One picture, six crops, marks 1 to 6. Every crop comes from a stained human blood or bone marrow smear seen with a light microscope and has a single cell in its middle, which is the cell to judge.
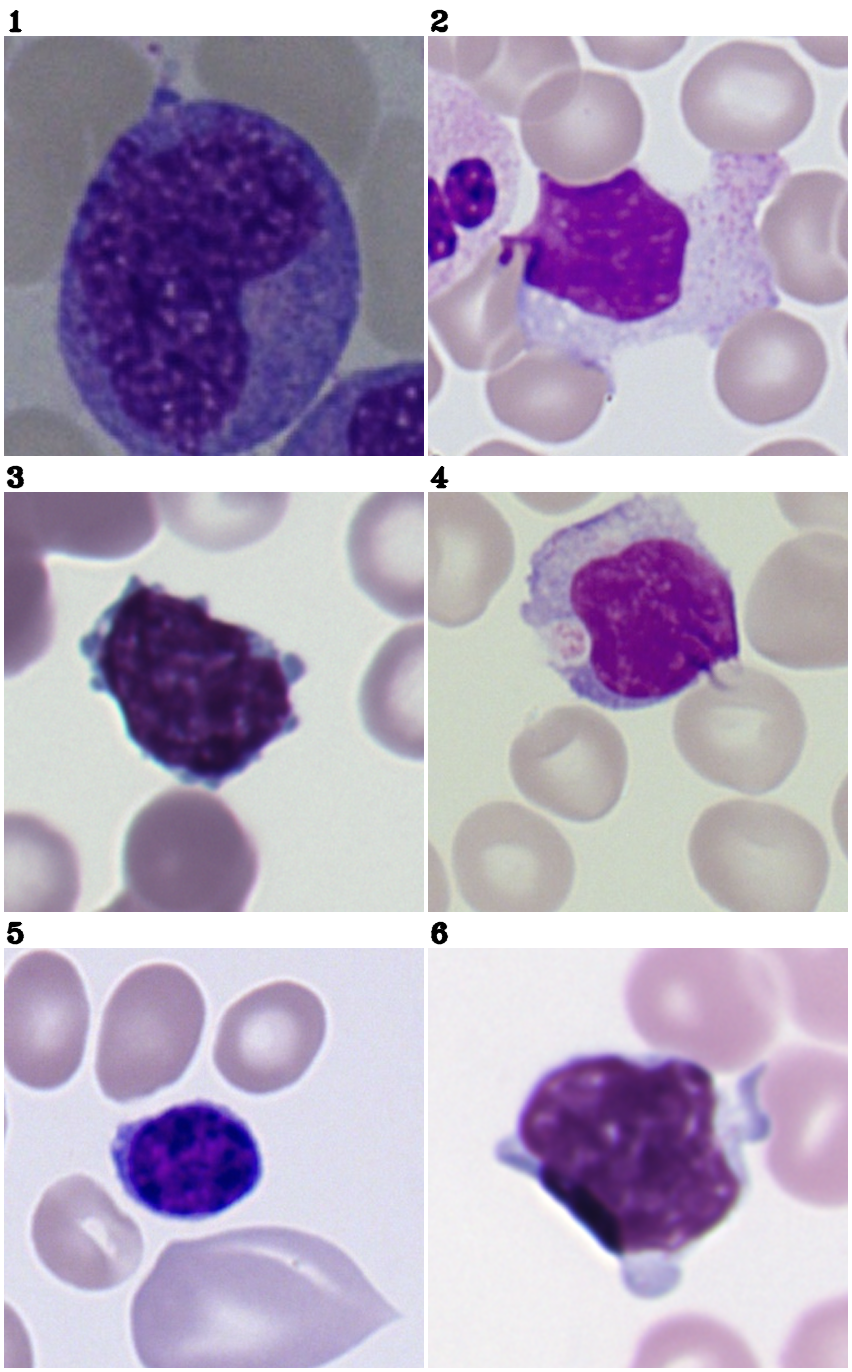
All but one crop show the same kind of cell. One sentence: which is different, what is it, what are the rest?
Here the outlier is crop 1, which is a monocyte, and the rest are lymphocytes.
